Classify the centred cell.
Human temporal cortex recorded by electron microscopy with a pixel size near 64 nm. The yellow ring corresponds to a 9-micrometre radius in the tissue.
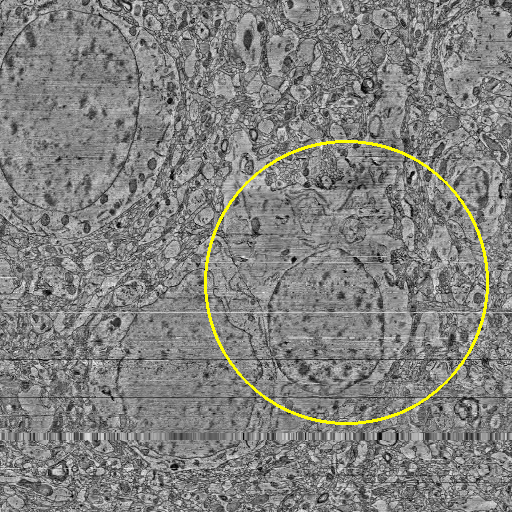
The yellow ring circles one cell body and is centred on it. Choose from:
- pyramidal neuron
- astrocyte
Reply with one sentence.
The ring is centred on an astrocyte.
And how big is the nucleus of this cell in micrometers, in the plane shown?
In this plane, the nucleus is roughly 9 by 8 micrometres.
